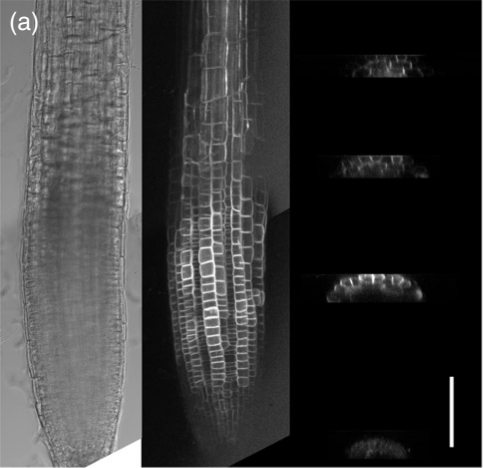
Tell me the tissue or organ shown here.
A: Root meristem and early elongation zone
